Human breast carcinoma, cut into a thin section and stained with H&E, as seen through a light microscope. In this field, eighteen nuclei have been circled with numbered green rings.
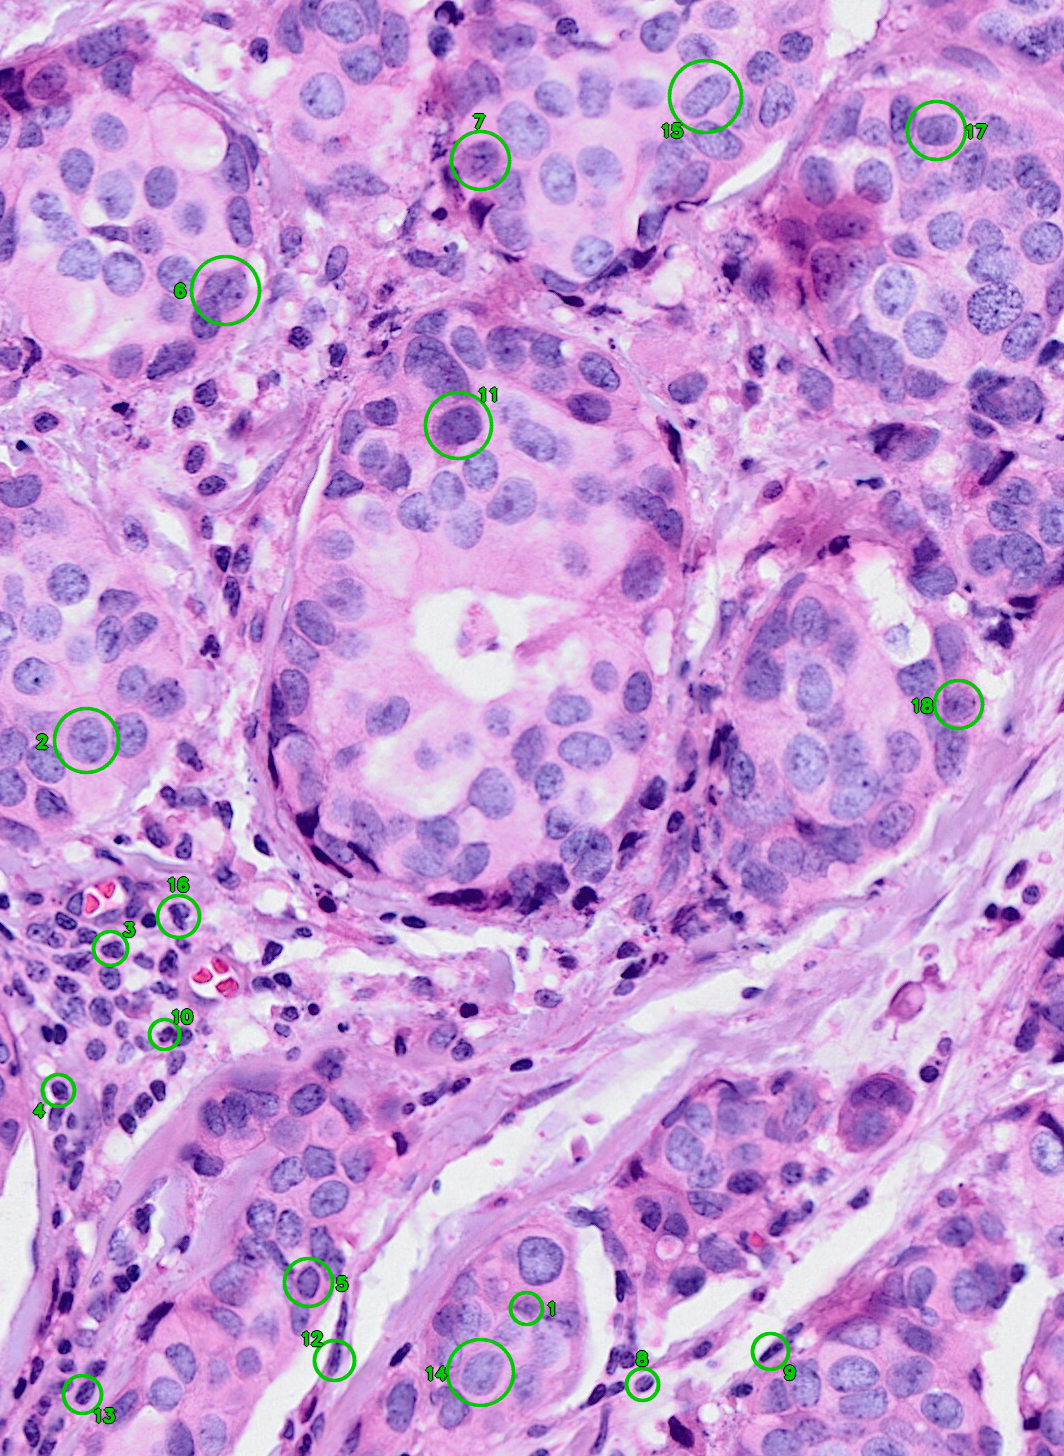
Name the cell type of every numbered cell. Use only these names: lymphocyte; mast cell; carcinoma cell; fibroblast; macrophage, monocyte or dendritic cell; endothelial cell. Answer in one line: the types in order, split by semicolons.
carcinoma cell; carcinoma cell; lymphocyte; lymphocyte; carcinoma cell; carcinoma cell; carcinoma cell; lymphocyte; lymphocyte; lymphocyte; carcinoma cell; fibroblast; lymphocyte; carcinoma cell; carcinoma cell; lymphocyte; carcinoma cell; carcinoma cell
